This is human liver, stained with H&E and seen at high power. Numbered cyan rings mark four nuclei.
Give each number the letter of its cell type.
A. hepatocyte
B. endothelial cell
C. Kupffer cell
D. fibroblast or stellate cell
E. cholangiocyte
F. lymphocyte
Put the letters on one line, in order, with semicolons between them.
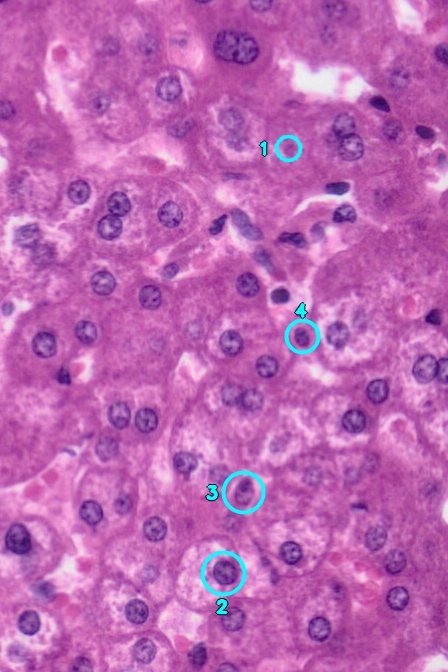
A; A; C; F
